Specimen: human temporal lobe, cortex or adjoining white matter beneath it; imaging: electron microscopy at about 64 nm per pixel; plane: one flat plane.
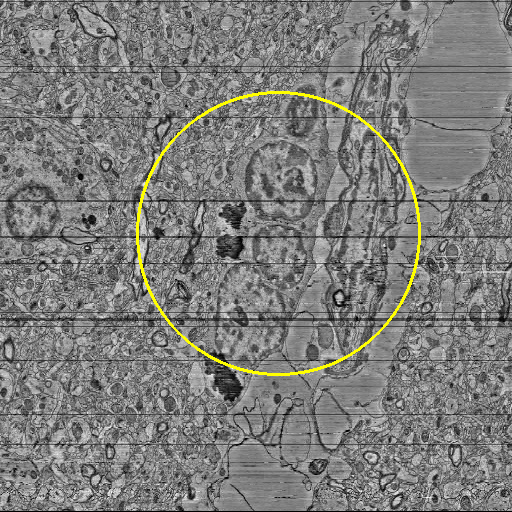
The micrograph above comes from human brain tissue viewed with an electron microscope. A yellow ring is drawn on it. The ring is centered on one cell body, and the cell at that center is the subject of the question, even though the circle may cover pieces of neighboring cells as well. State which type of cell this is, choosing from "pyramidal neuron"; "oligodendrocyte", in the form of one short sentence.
The cell the ring is centered on is an oligodendrocyte.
